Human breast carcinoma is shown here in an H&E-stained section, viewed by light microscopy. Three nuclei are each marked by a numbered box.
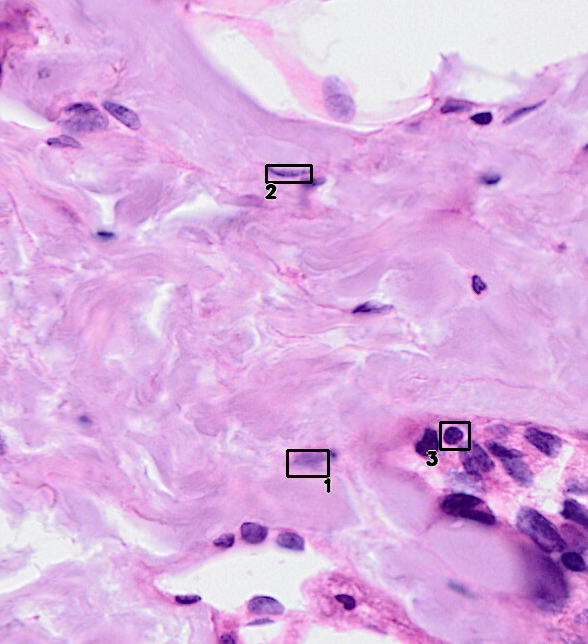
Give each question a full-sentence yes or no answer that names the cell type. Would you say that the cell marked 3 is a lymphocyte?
Yes, the cell bearing the number 3 is a lymphocyte.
